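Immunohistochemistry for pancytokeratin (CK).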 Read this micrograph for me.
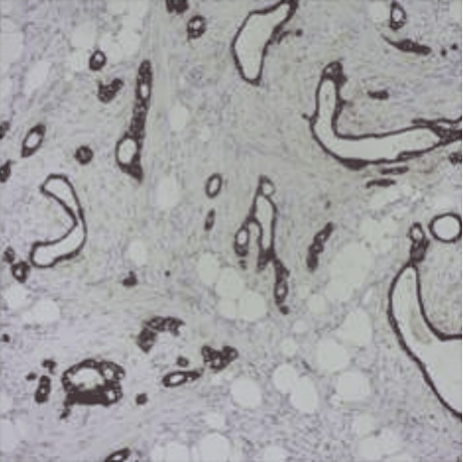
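Cystic and branching spaces of varying size are lined by a thin, dark brown staining epithelial layer, some forming small clustered glandular profiles. The surrounding pale stroma contains scattered rounded clear fat vacuoles and does not take up the brown stain.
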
